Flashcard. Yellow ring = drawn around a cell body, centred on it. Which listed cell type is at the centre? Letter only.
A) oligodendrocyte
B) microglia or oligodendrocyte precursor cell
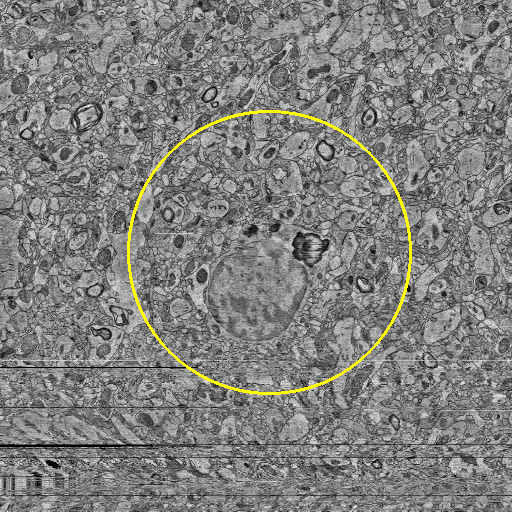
A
